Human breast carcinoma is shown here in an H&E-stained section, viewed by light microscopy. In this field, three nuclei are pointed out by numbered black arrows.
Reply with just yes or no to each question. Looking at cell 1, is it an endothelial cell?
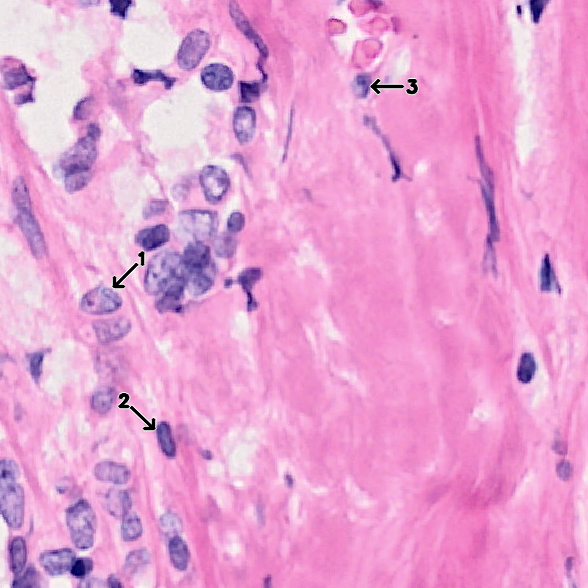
no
